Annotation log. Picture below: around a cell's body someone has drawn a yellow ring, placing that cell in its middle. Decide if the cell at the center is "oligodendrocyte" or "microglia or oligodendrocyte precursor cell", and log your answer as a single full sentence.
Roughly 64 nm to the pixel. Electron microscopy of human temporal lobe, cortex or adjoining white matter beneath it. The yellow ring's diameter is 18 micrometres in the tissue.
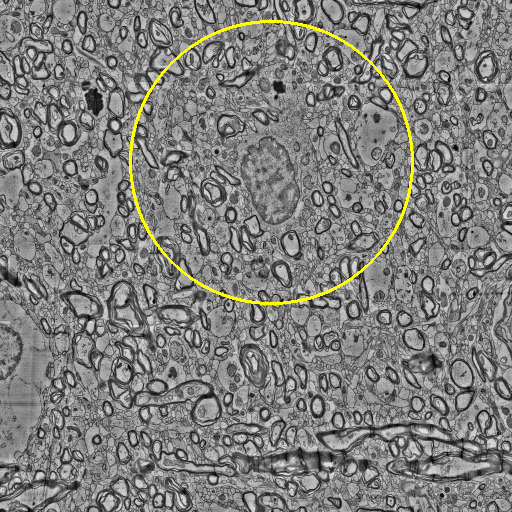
My entry records an oligodendrocyte as the cell sitting at the center of the yellow ring.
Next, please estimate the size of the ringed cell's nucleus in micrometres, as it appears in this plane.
The nucleus is approximately 6 micrometers long by 3 micrometers wide in this plane.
